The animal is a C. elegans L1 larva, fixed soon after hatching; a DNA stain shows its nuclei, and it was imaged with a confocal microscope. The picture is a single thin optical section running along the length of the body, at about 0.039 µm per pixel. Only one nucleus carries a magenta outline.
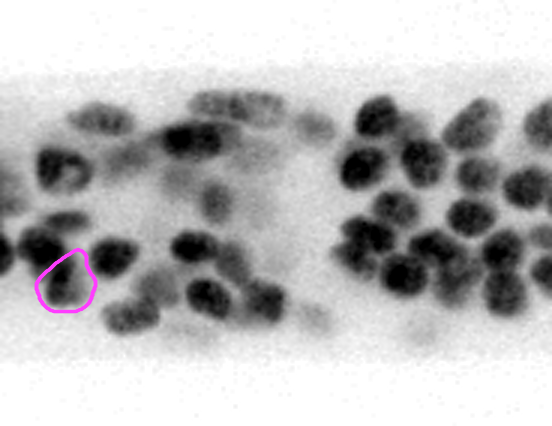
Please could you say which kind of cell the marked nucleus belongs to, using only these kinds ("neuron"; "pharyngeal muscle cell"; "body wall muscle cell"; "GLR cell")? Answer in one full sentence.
This is the nucleus of a pharyngeal muscle cell.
